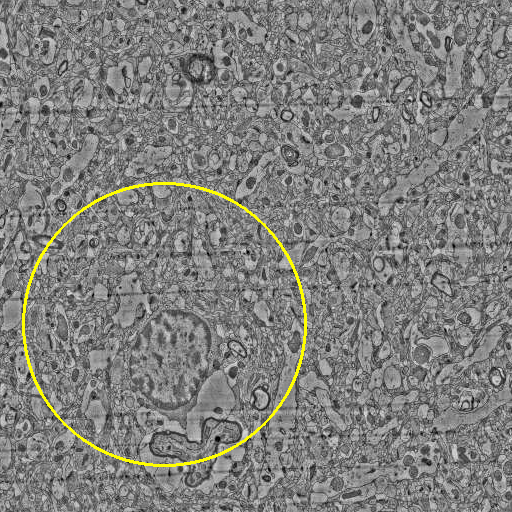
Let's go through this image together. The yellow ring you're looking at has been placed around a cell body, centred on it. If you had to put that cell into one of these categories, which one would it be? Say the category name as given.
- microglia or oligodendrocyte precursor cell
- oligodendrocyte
oligodendrocyte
